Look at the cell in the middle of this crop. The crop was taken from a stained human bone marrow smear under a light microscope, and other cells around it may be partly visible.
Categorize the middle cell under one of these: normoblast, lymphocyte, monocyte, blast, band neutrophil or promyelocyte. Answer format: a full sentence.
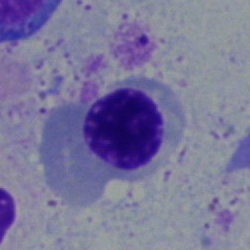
The cell marked by its central position in the crop is a normoblast.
